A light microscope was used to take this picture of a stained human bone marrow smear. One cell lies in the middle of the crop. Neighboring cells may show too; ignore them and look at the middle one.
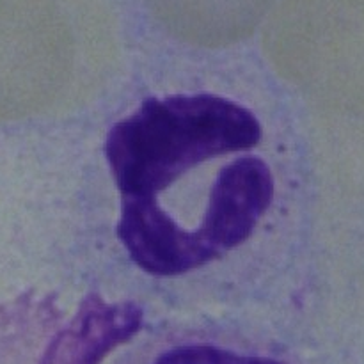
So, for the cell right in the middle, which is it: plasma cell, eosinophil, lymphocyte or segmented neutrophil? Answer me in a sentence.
The cell around which this crop is centred is a segmented neutrophil.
